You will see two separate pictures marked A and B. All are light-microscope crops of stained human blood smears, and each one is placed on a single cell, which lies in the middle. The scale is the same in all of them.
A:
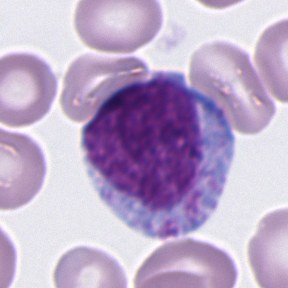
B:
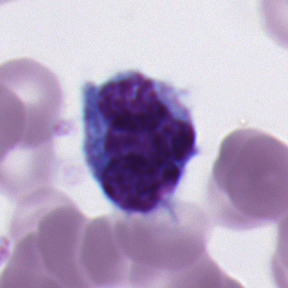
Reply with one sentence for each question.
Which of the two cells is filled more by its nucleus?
Of the two, the nucleus in picture B makes up the greater part of its cell.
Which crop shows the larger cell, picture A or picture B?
The cell in picture A is larger, with about 1.5 times the area of the one in picture B.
